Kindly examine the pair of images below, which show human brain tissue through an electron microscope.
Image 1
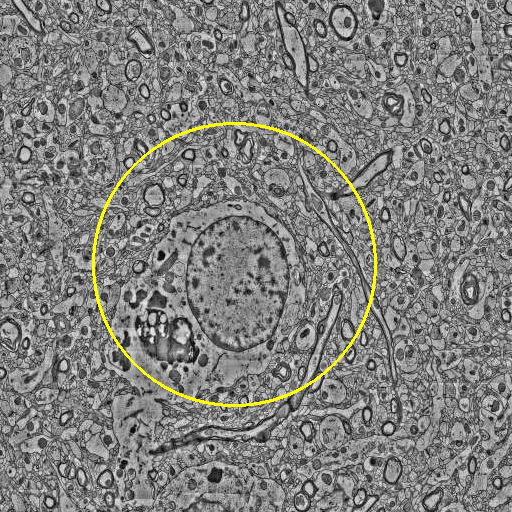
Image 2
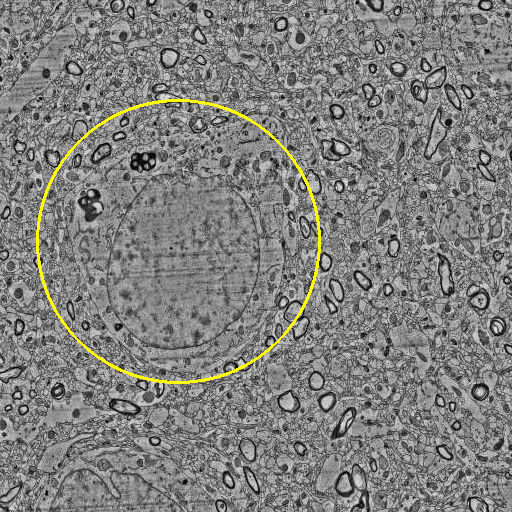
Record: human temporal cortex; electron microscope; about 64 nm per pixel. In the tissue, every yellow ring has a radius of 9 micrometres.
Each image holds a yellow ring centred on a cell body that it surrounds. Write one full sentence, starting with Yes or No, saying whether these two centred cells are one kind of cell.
No, the cells at the centres of the yellow rings belong to two kinds of cell.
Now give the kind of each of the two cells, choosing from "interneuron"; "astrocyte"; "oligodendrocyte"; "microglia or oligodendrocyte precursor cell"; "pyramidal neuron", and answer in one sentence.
The cell in the first picture is an astrocyte, and the cell in the second is a pyramidal neuron.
